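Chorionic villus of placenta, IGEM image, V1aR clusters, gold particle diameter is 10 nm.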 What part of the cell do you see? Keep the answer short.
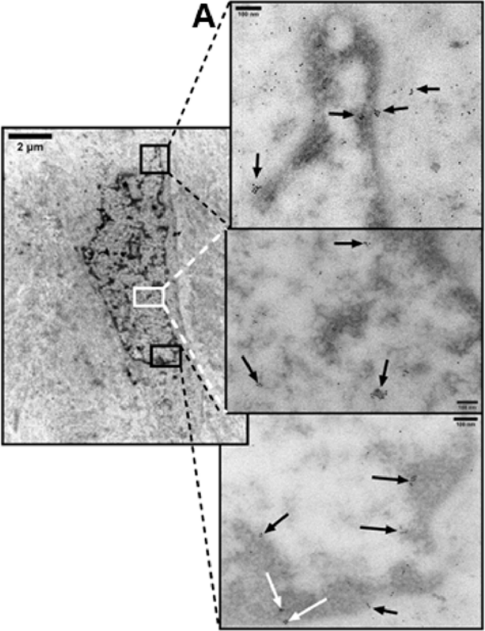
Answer: Nucleus.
